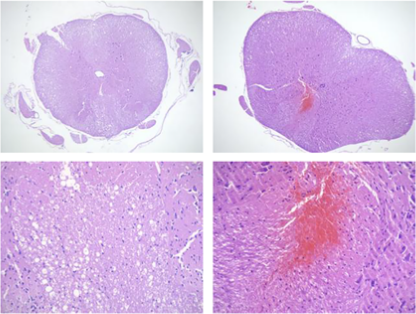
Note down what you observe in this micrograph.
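In the whole sections the cord is an oval of pink tissue surrounded by thin meninges and nerve roots. The right-hand cord has a patch of bright red, extravasated blood within the cord tissue. In the enlarged field from that cord, the red area is a dense mass of red blood cells lying among pink tissue with scattered dark purple nuclei. The enlarged field from the left-hand cord instead shows pink tissue riddled with many small round clear spaces, with small dark nuclei scattered between them and no blood.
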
